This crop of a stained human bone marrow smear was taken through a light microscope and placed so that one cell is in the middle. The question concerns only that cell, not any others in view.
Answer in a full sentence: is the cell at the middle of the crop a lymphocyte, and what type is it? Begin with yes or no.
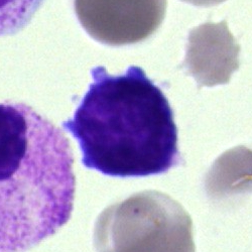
Yes, the centre of the crop holds a lymphocyte.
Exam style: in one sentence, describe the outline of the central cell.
The boundary of the cell runs irregularly, ragged in parts or drawn into projections.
